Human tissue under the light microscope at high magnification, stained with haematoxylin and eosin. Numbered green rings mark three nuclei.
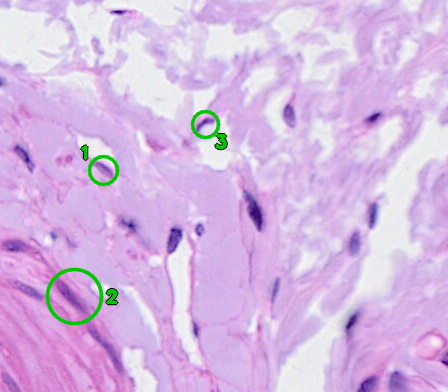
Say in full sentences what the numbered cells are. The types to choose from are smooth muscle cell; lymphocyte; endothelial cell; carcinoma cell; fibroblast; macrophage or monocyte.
Cell 1 is a fibroblast, cell 2 is a smooth muscle cell and cell 3 is a fibroblast.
